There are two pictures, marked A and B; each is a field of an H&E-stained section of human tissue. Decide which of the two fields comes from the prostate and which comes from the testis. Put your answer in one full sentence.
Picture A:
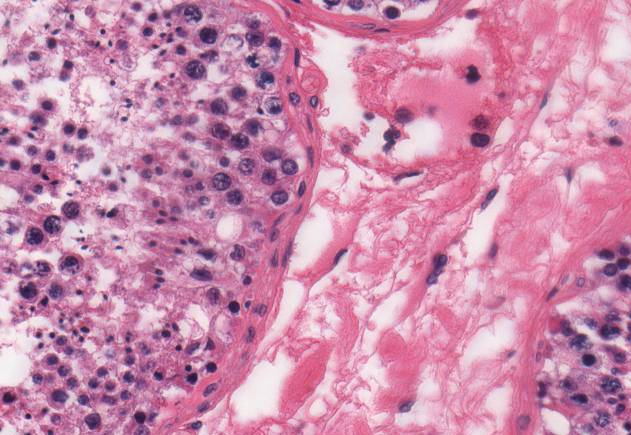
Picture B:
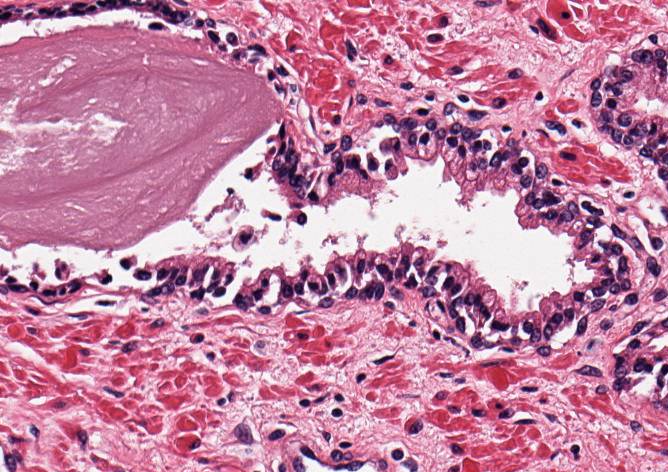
It is picture A that comes from the testis, and picture B that comes from the prostate.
